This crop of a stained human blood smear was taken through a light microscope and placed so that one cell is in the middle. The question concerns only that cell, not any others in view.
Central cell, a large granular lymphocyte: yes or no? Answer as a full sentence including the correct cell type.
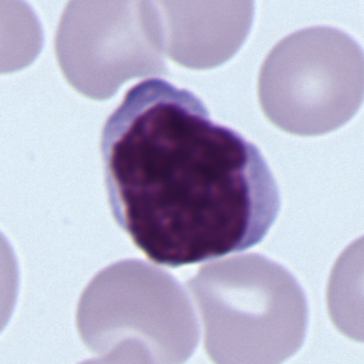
No, the cell sitting in the middle is a typical lymphocyte, and it is not a large granular lymphocyte.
